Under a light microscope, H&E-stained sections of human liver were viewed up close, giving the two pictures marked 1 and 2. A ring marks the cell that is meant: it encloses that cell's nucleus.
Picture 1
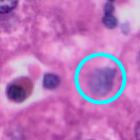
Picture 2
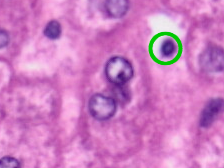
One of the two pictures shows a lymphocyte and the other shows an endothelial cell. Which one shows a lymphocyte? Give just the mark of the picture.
2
